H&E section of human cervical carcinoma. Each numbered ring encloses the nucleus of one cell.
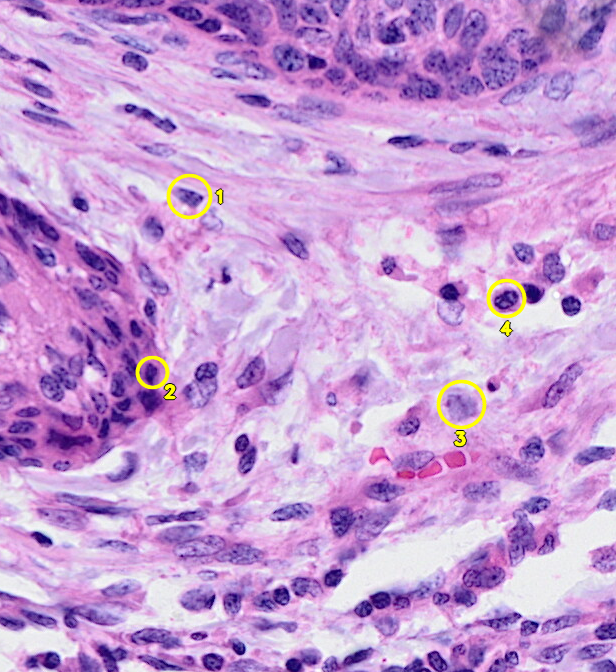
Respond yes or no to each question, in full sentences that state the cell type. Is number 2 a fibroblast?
No, it is a squamous carcinoma cell that is marked with number 2, not a fibroblast.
